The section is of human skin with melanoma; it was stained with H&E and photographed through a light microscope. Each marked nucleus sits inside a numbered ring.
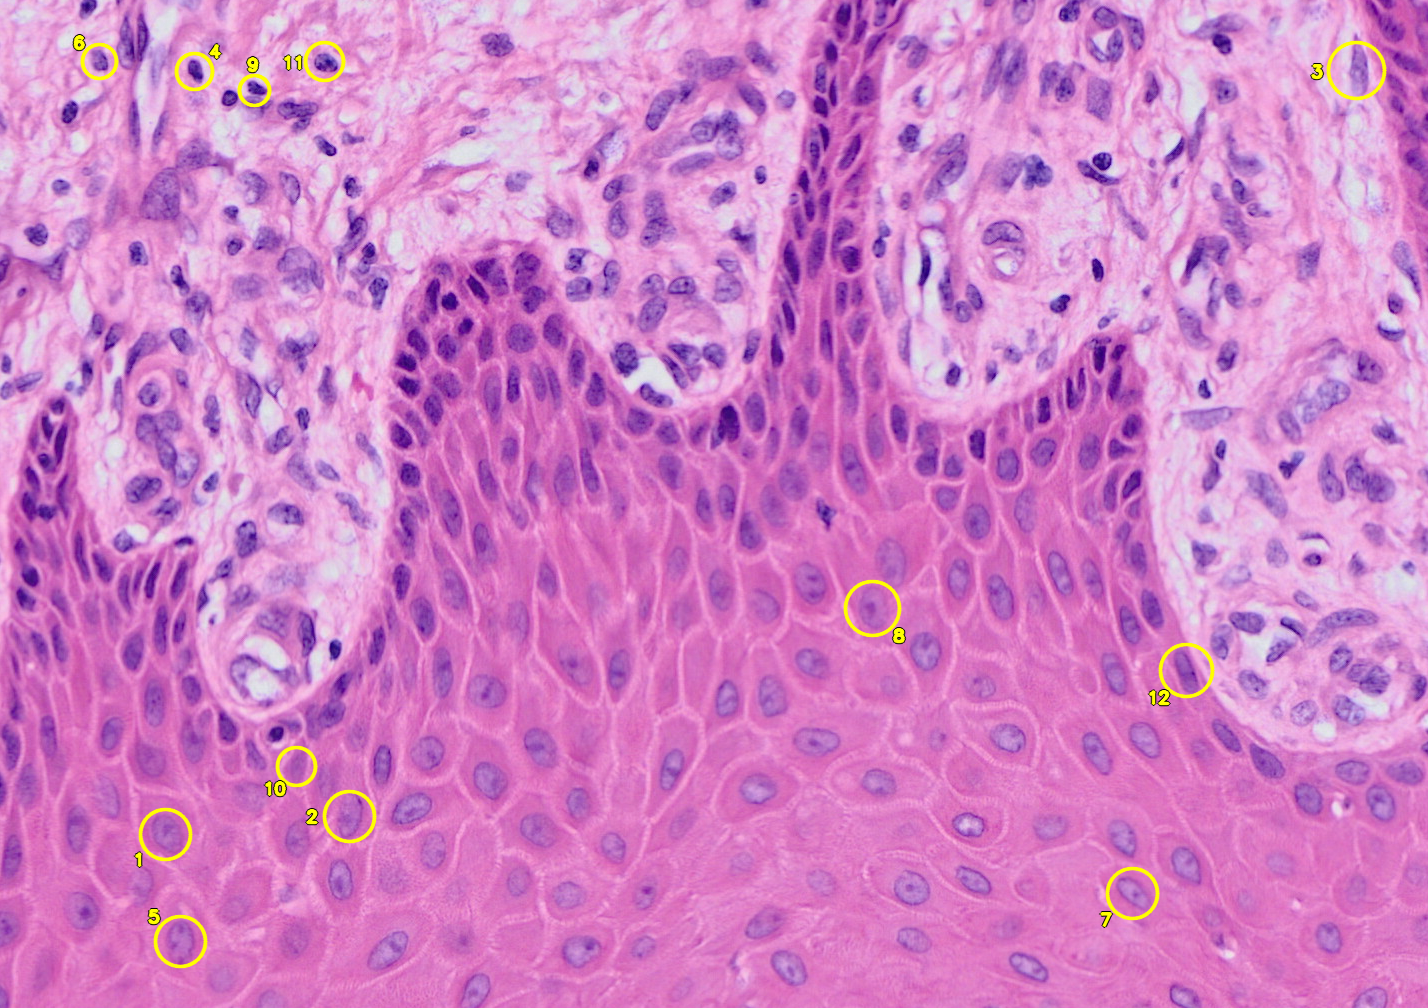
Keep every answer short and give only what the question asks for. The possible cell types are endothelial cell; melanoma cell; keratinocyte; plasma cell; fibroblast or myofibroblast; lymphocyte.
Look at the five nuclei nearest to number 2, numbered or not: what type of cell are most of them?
keratinocyte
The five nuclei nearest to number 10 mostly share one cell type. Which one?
keratinocyte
